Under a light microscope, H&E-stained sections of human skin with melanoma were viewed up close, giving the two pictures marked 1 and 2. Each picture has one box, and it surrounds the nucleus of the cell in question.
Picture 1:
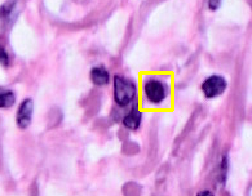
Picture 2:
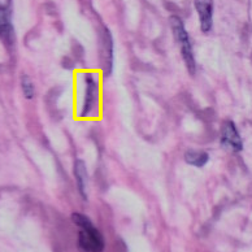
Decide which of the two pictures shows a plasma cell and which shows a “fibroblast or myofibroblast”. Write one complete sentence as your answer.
Picture 1 is of a plasma cell, and picture 2 is of a “fibroblast or myofibroblast”.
